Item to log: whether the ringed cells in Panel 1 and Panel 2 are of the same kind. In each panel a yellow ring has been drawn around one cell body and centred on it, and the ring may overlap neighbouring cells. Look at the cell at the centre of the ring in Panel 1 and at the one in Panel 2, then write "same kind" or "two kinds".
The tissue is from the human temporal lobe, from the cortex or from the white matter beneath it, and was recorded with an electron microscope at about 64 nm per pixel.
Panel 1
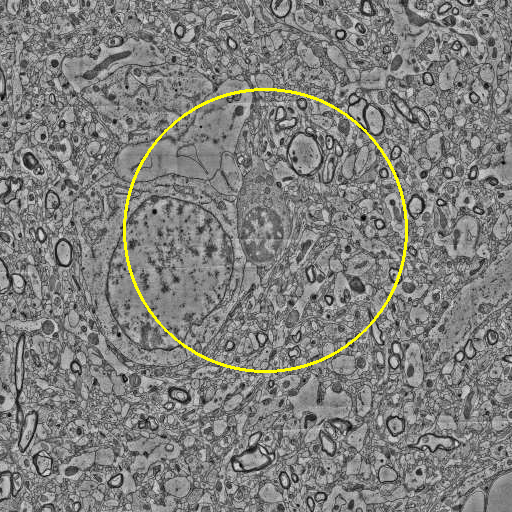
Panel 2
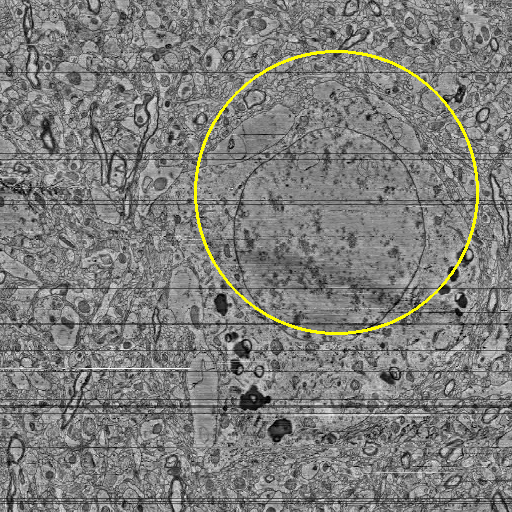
two kinds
